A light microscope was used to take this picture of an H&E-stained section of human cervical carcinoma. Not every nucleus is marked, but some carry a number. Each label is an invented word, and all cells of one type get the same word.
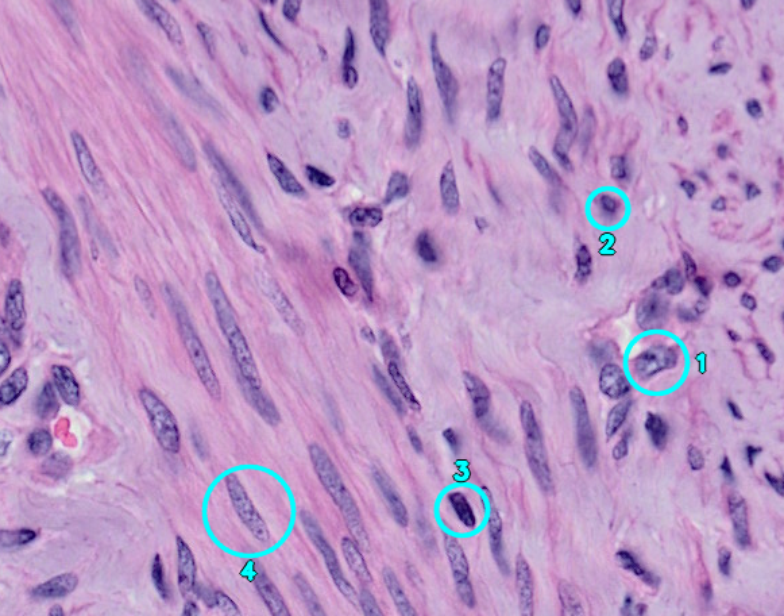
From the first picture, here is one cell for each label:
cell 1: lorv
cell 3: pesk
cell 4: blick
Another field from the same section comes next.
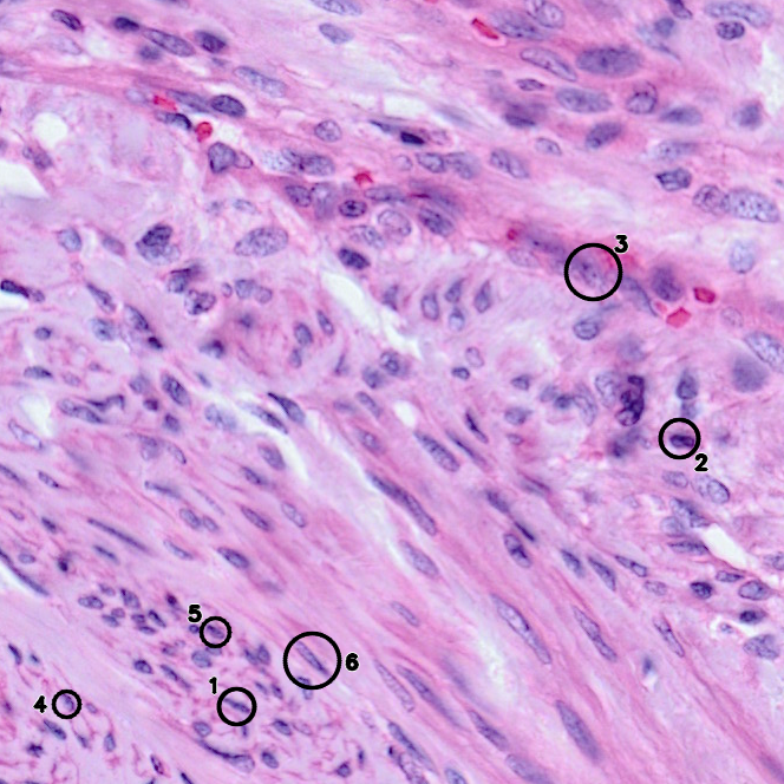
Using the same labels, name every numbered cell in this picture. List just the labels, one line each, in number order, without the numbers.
blick
pesk
lorv
blick
blick
blick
